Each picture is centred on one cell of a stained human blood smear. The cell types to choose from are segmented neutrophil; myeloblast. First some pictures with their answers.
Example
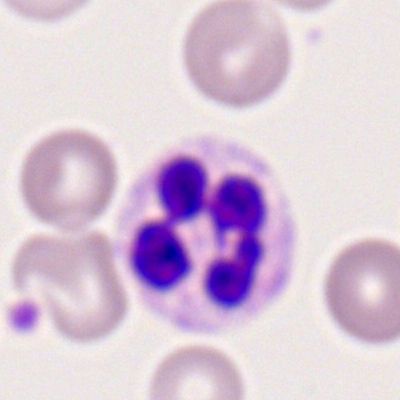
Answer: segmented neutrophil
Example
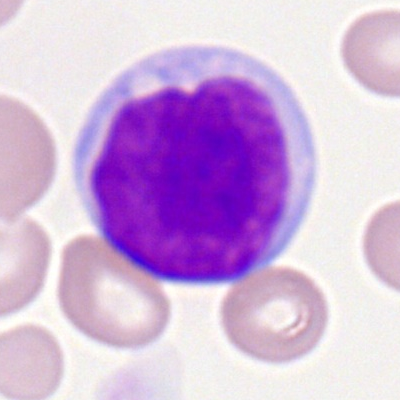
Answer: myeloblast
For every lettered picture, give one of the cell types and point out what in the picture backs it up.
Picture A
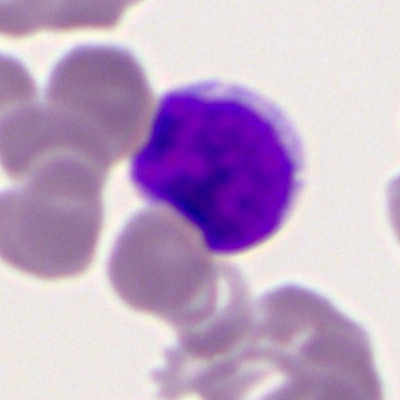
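Answer: myeloblast. The nucleus fills most of the cell.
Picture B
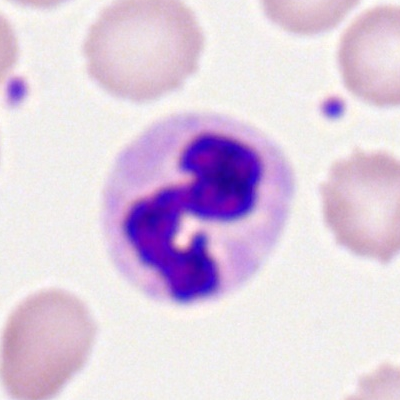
Answer: segmented neutrophil. The cytoplasm is plentiful and pale pinkish-lilac.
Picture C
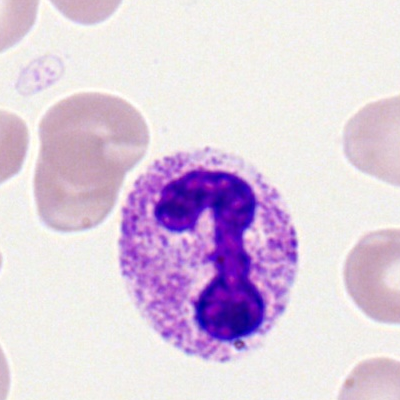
Answer: segmented neutrophil. The cytoplasm is plentiful and pale pink.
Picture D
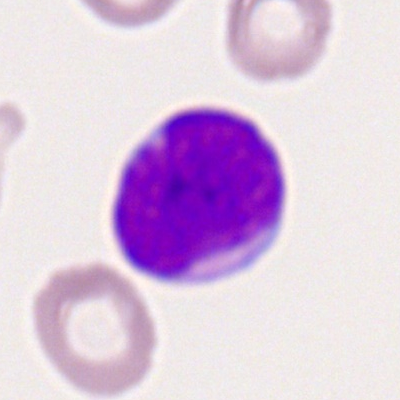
Answer: myeloblast. The nucleus fills almost the whole cell.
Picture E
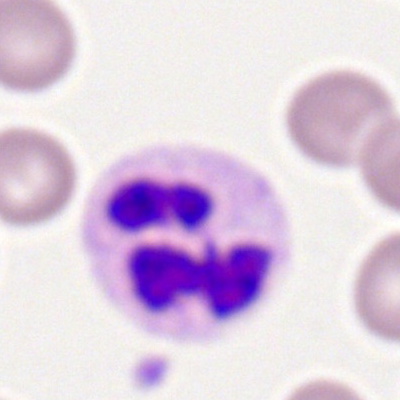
Answer: segmented neutrophil. The cytoplasm is abundant and pale pinkish-lilac.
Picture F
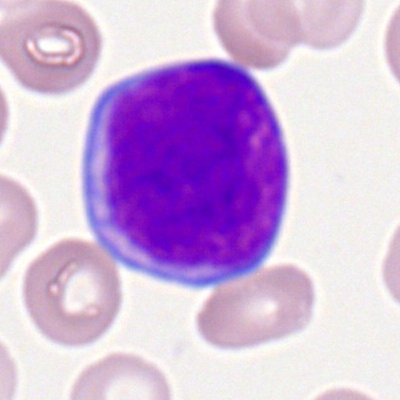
Answer: myeloblast. The nucleus is a single unlobed mass that fills almost the whole cell.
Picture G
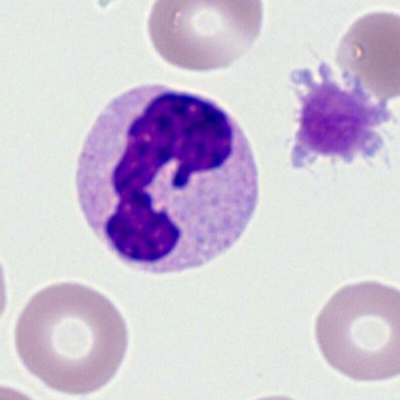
Answer: segmented neutrophil. The cytoplasm is abundant and pale pinkish-lilac.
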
